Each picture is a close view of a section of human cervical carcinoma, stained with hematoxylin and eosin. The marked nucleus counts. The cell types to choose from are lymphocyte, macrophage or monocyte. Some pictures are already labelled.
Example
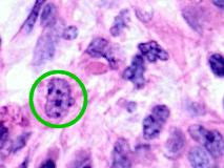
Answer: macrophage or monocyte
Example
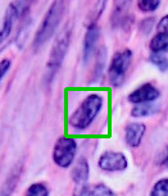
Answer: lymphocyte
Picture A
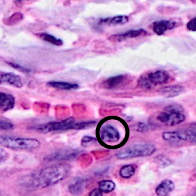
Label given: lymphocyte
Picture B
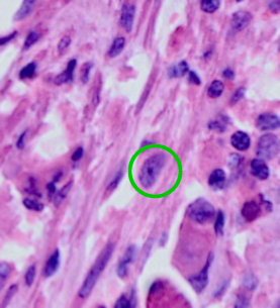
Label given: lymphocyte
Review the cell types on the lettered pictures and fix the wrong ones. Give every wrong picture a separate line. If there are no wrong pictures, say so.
B is labelled lymphocyte; correct label: macrophage or monocyte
